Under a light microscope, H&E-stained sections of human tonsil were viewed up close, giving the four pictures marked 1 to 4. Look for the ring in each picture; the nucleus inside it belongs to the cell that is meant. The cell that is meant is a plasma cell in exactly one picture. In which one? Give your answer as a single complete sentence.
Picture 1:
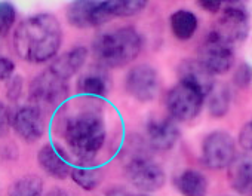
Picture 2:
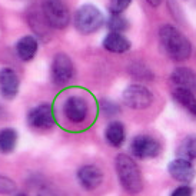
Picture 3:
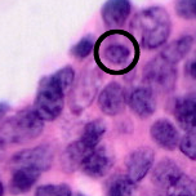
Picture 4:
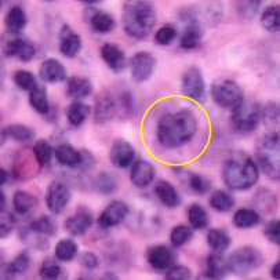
It is picture 2 that shows the plasma cell.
